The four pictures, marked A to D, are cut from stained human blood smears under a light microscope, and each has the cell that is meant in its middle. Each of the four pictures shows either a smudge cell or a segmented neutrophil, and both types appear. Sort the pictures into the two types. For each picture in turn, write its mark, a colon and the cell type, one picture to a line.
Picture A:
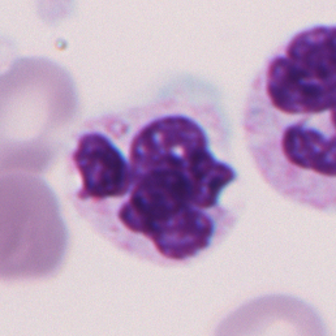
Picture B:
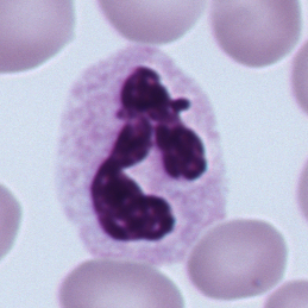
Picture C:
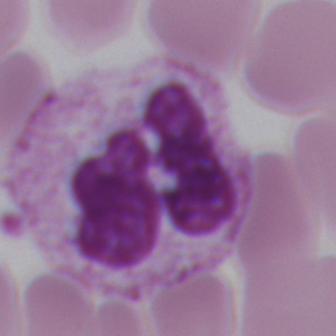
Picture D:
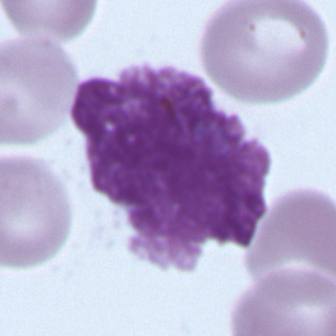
A: segmented neutrophil
B: segmented neutrophil
C: segmented neutrophil
D: smudge cell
